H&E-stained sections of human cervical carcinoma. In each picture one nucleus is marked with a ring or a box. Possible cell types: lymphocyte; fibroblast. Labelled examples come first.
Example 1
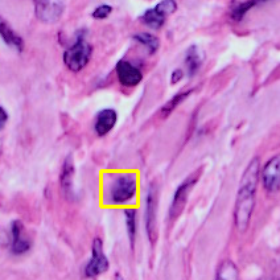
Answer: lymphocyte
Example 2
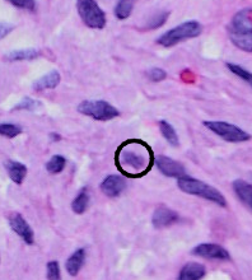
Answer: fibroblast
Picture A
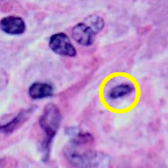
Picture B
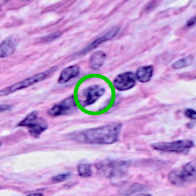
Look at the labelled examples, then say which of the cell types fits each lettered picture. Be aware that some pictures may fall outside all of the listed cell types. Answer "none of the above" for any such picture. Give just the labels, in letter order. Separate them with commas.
lymphocyte, lymphocyte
